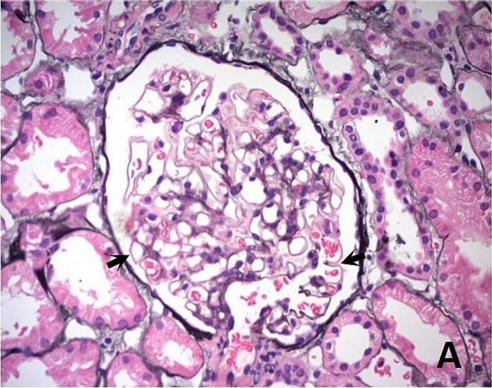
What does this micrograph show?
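A single glomerulus of the kidney is seen in cross section, its capillary tuft lying within a wide, clear capsular space bounded by a thin black-lined capsule. Some red blood cells lie within the capillary lumens, and nuclei of glomerular cells are scattered through the tuft. Around the glomerulus lie cross-sectioned tubules with pink cytoplasm, round nuclei and black-outlined basement membranes.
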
